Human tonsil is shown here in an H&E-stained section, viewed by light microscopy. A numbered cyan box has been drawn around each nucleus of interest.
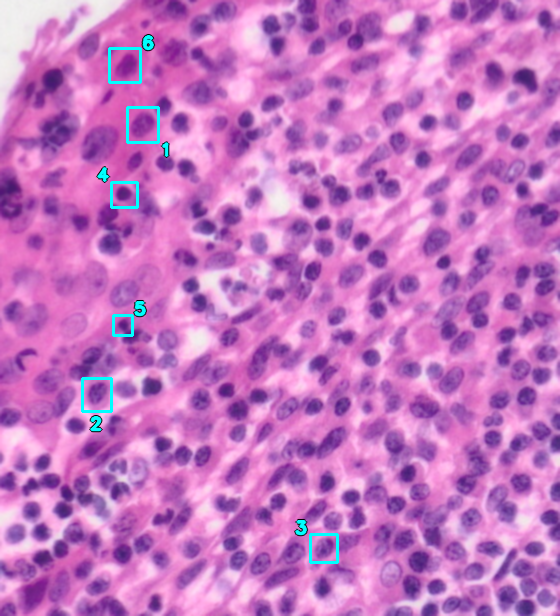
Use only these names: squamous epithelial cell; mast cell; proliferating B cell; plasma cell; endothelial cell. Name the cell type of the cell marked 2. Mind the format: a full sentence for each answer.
The nucleus marked 2 is the nucleus of a plasma cell.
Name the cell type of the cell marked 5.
Cell 5, among those numbered, is a squamous epithelial cell.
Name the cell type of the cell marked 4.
The marked cell bearing number 4 is a squamous epithelial cell.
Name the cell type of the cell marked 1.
The label 1 in this section denotes a squamous epithelial cell.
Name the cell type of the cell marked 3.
That cell with number 3 is a plasma cell.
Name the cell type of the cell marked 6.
The cell that carries the label 6 is a squamous epithelial cell.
